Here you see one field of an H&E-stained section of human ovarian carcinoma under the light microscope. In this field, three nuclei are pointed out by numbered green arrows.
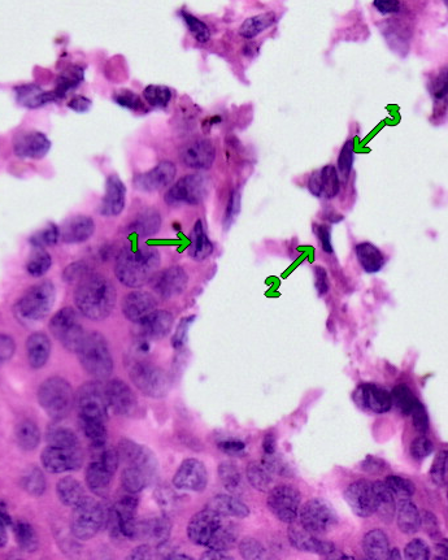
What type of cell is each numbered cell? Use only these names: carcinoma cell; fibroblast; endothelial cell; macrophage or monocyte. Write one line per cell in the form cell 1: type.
cell 1: macrophage or monocyte
cell 2: macrophage or monocyte
cell 3: carcinoma cell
